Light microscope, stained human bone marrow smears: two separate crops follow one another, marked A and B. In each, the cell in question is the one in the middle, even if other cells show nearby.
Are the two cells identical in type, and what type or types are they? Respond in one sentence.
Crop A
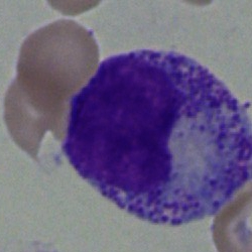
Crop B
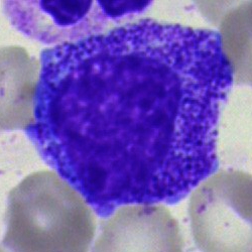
No, crop A shows a myelocyte and crop B a promyelocyte.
